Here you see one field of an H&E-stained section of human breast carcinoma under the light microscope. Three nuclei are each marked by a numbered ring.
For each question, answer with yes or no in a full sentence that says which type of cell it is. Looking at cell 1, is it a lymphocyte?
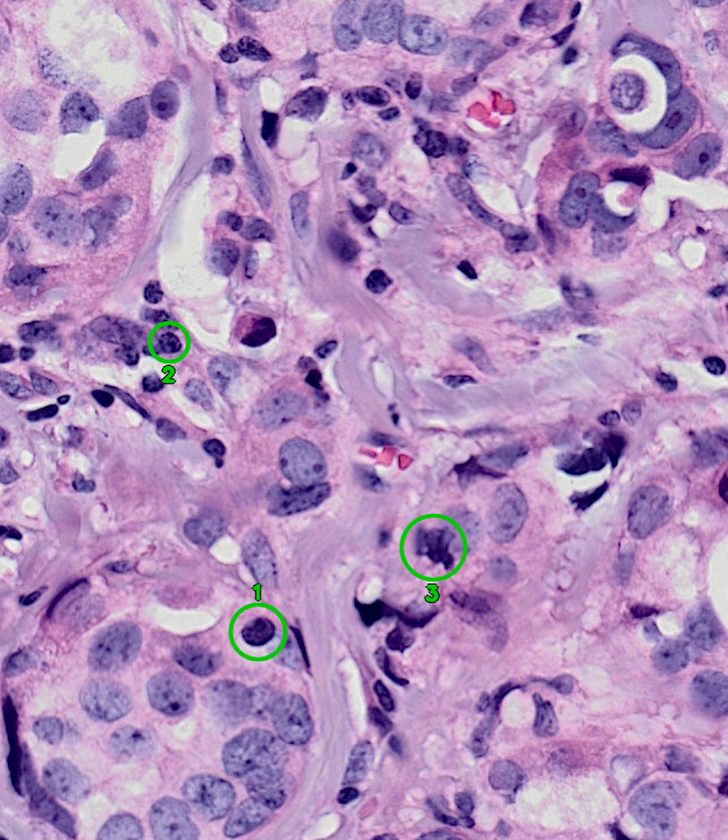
No, the marker 1 sits on a carcinoma cell, not on a lymphocyte.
